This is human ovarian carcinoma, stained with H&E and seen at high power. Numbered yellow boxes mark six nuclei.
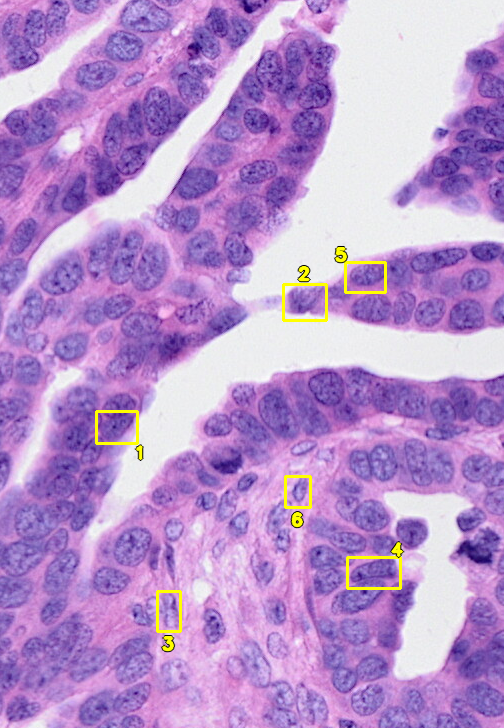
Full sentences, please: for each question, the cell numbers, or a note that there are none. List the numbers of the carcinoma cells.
The cells numbered 1, 2, 4 and 5 are of one kind: carcinoma cells.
